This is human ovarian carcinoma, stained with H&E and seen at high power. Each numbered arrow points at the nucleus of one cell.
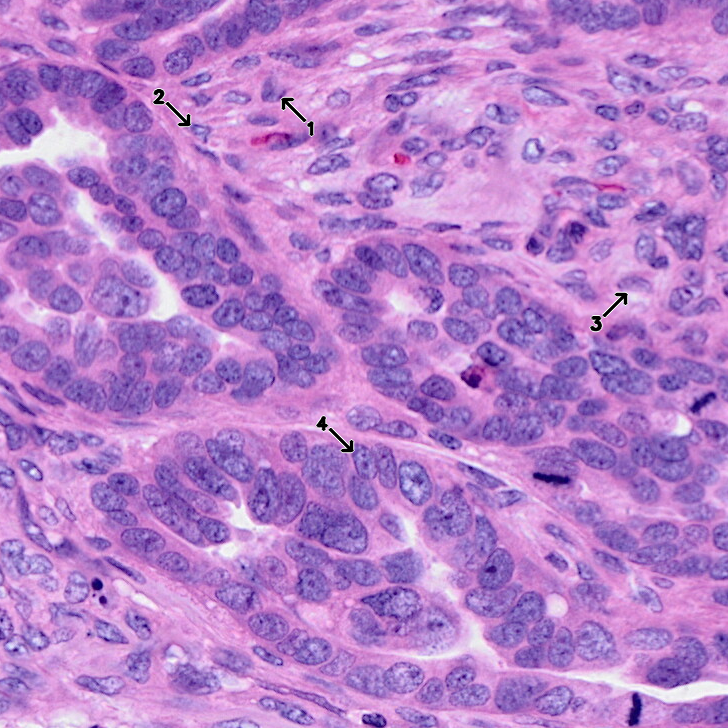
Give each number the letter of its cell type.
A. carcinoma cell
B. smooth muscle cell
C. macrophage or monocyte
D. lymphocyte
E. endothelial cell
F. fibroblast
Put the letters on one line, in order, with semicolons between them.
F; F; F; A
